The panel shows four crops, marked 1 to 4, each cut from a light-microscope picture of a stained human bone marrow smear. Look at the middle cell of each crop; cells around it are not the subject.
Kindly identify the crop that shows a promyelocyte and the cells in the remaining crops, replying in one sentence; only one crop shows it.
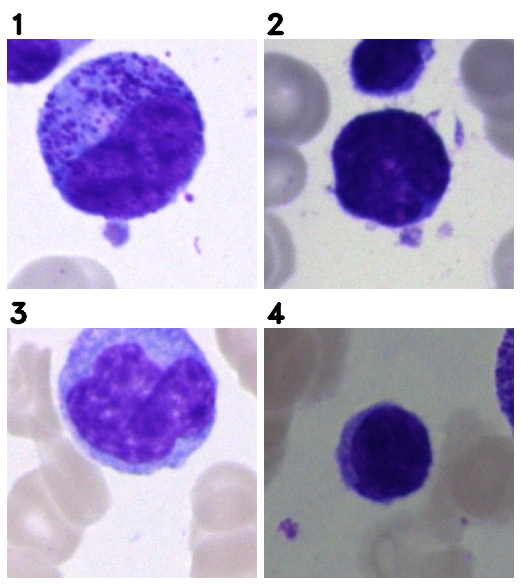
So crop 1 shows a promyelocyte, while crop 2 is a blast, crop 3 is a monocyte and crop 4 is a lymphocyte.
